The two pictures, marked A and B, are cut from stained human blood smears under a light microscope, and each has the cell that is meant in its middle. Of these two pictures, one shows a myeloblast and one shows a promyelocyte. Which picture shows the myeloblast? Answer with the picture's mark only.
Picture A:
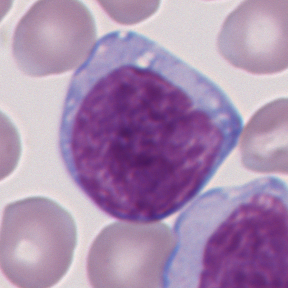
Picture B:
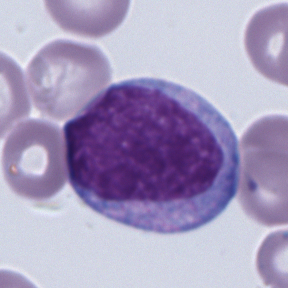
A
